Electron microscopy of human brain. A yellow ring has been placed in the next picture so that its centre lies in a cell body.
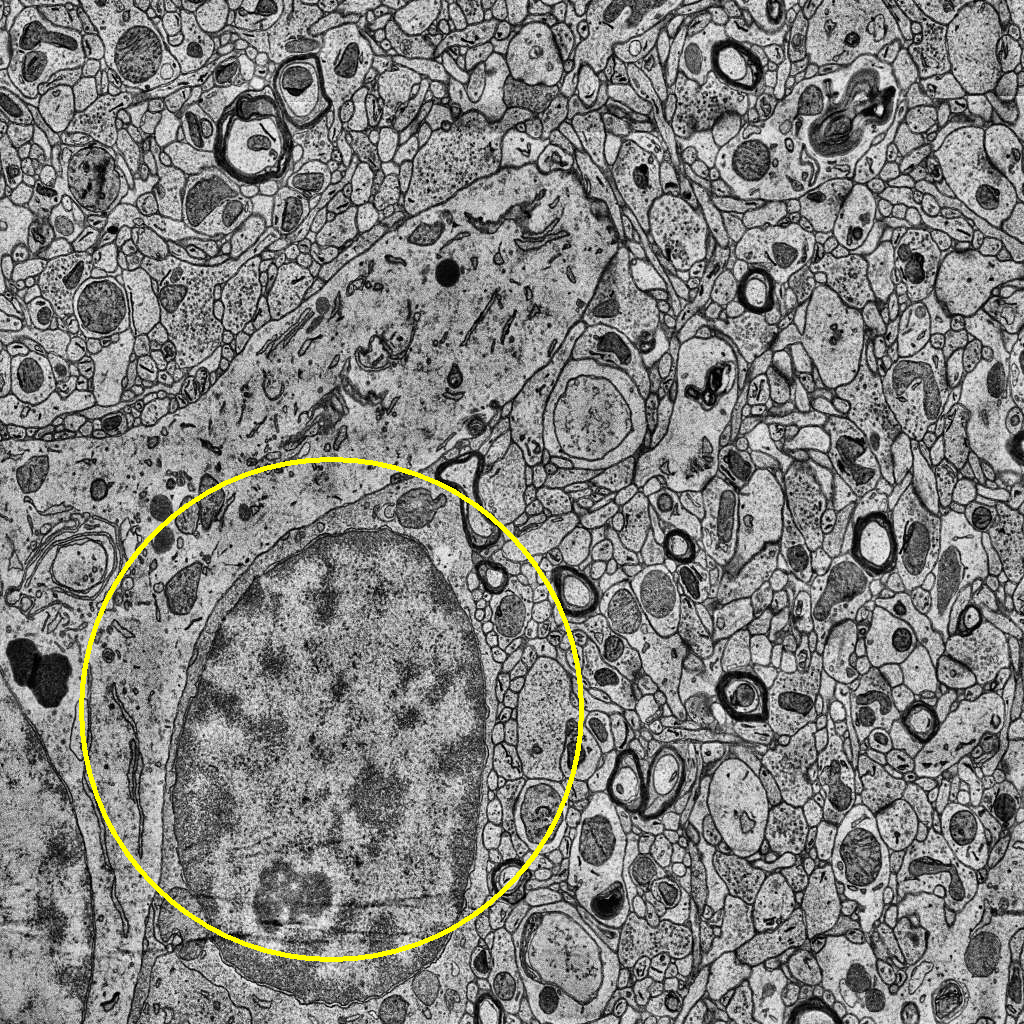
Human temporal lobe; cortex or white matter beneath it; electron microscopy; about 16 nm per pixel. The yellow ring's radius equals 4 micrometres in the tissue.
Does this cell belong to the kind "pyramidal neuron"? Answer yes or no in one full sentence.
No, the cell in this picture with the ring's centre in its body is of another kind.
